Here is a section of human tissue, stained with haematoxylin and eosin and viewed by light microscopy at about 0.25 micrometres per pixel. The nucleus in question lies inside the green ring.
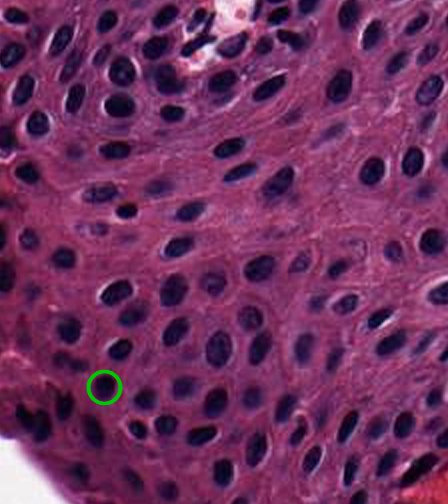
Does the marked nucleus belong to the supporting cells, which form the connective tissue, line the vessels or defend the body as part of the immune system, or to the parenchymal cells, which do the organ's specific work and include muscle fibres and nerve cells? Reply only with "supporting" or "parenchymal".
parenchymal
